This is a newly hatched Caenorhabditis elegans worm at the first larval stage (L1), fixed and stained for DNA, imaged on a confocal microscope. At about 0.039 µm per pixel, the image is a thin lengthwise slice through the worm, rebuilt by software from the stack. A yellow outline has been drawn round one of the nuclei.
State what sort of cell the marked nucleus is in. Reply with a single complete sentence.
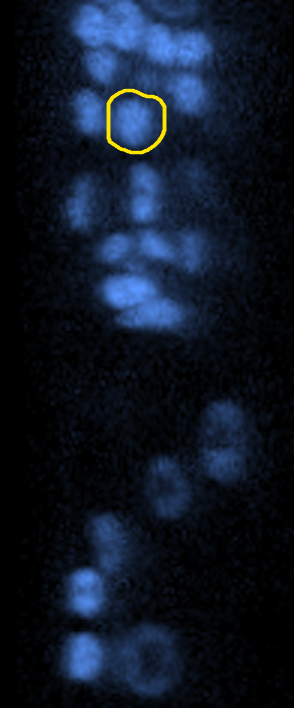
It belongs to a neuron.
